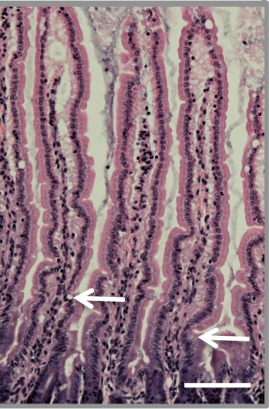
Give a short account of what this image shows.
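This is small intestinal mucosa showing long, slender villi covered by columnar enterocytes. The epithelial nuclei form a fairly regular row near the base of the cells, and the cytoplasm above them is mostly evenly pink. Only occasional small clear vacuoles are seen within the epithelium. Each villus has a narrow core of lamina propria with purple nuclei, and the villi lie parallel with thin spaces between them.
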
